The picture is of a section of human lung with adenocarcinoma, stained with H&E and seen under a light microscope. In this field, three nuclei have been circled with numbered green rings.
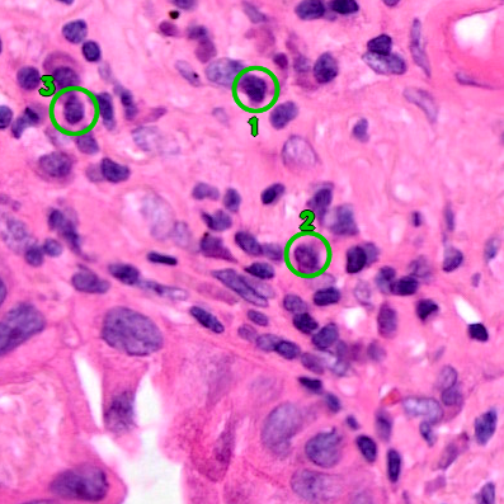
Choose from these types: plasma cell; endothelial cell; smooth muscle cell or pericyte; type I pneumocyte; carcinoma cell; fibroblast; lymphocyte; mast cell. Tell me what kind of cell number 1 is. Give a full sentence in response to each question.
The marked cell with the number 1 is recognised as a plasma cell.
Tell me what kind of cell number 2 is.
Cell 2 should be recorded as a plasma cell.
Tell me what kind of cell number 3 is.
Number 3 among the marked cells is a lymphocyte.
